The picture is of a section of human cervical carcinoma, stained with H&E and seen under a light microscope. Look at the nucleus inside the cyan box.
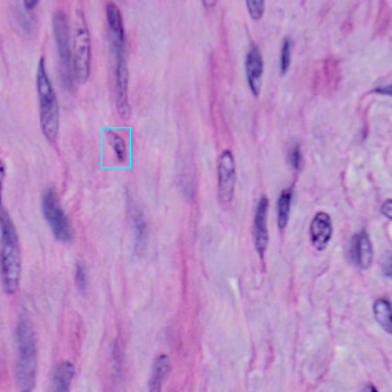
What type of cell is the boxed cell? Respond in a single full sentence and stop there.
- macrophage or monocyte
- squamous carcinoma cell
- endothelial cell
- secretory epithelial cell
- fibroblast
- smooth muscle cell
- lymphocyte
The identity of the boxed cell: it is a smooth muscle cell.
